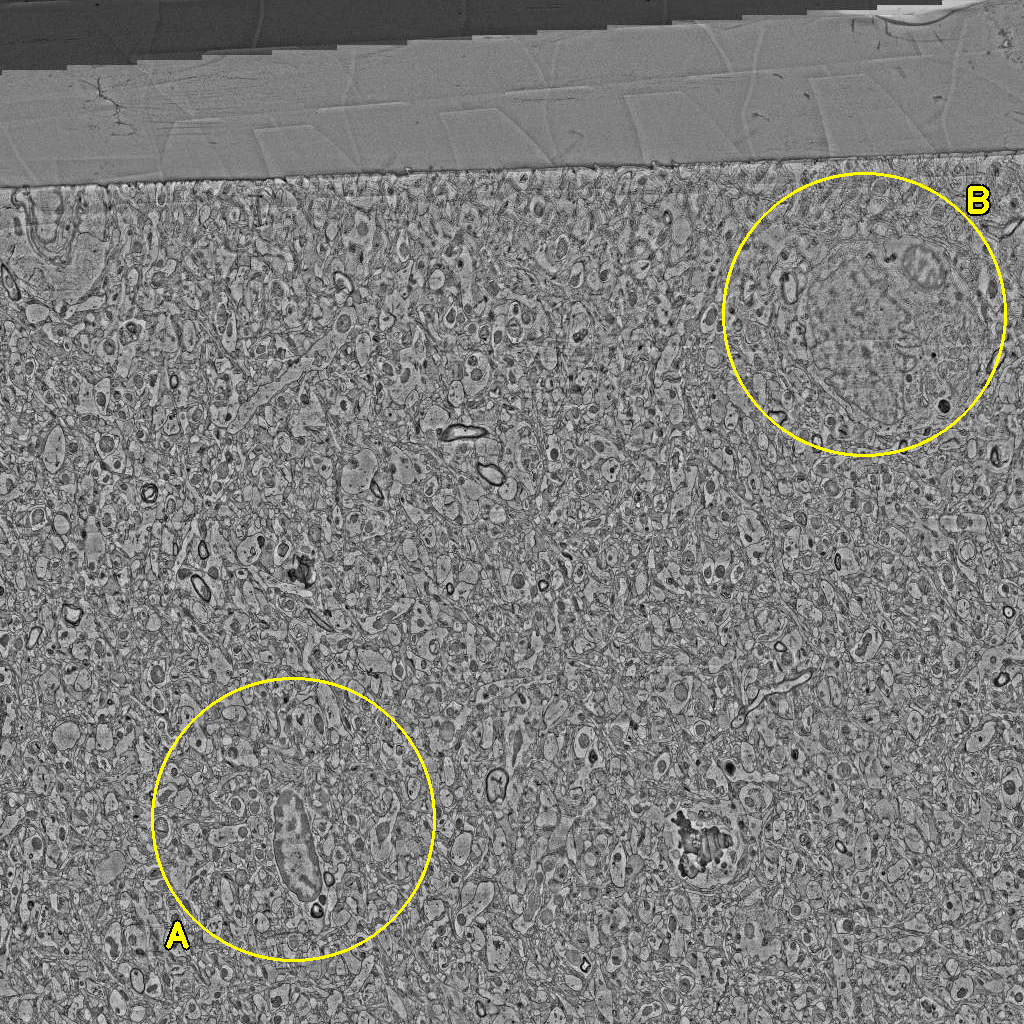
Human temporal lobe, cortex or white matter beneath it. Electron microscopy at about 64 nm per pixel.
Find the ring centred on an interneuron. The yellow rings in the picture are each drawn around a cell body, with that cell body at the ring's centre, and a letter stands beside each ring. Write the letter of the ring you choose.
B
